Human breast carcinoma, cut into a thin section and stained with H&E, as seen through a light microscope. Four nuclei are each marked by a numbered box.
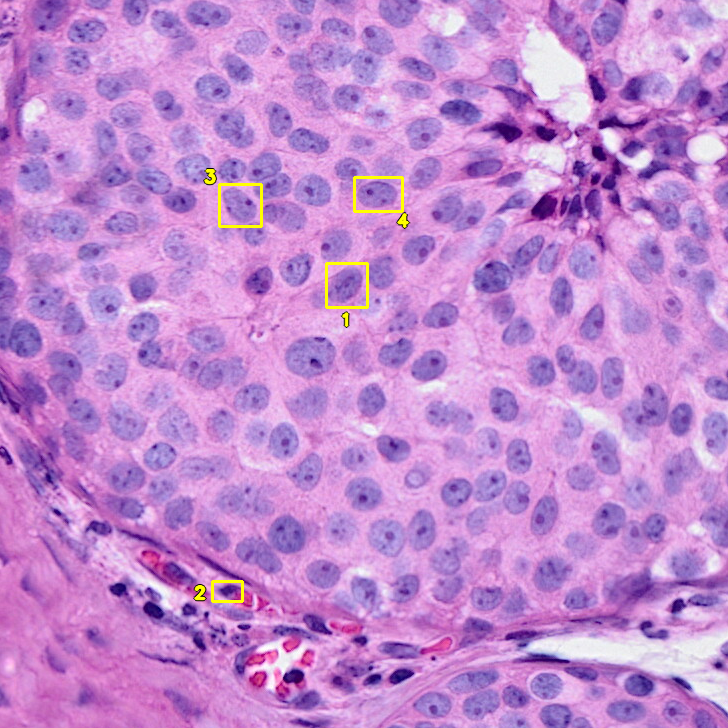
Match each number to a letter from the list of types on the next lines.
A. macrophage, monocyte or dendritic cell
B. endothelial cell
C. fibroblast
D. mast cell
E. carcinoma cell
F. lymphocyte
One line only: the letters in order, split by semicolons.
E; B; E; E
